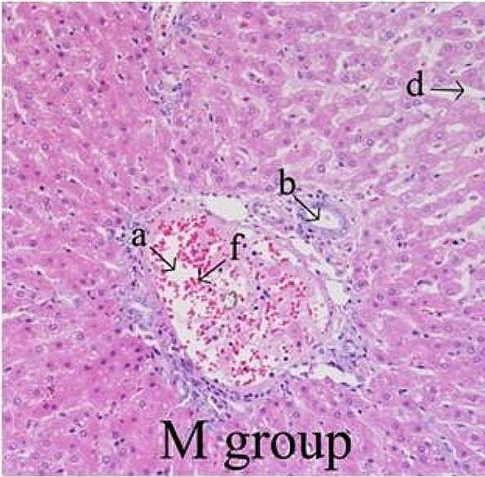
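Liver at a portal area: a large thin-walled interlobular vein packed with red blood cells sits in a cuff of connective tissue with many small dark nuclei, beside a smaller thick-walled interlobular artery. Around it, plates of polygonal hepatocytes with pink cytoplasm and round central nuclei radiate outward, separated by narrow pale hepatic blood sinusoids.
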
